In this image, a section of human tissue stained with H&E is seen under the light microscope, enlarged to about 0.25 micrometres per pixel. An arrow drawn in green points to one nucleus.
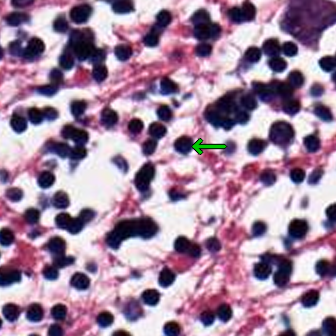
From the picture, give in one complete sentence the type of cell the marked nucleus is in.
The marked nucleus forms part of a cerebellar granule cell.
